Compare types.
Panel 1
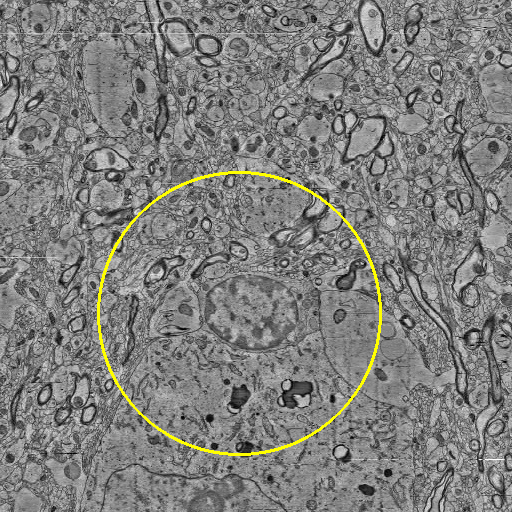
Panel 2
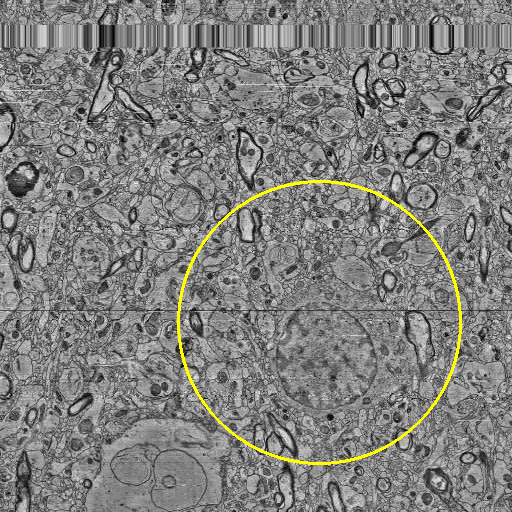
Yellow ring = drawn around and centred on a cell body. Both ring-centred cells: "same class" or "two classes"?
same class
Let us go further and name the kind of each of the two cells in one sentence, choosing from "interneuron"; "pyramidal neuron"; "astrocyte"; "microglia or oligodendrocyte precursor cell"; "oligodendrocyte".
In each of the two pictures, the ringed cell is an oligodendrocyte.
